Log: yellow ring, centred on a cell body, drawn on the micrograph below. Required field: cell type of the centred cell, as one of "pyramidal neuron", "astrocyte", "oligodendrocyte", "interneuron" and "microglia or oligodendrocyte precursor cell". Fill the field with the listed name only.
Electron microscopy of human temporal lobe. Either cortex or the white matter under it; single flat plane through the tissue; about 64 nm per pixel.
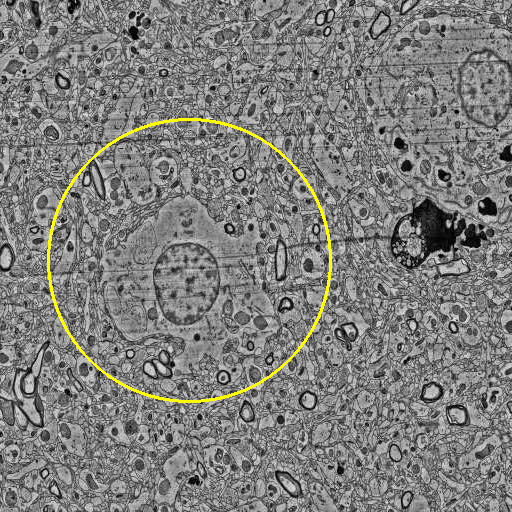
astrocyte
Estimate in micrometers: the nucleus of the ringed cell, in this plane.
In this plane, roughly 5 by 4 micrometres.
